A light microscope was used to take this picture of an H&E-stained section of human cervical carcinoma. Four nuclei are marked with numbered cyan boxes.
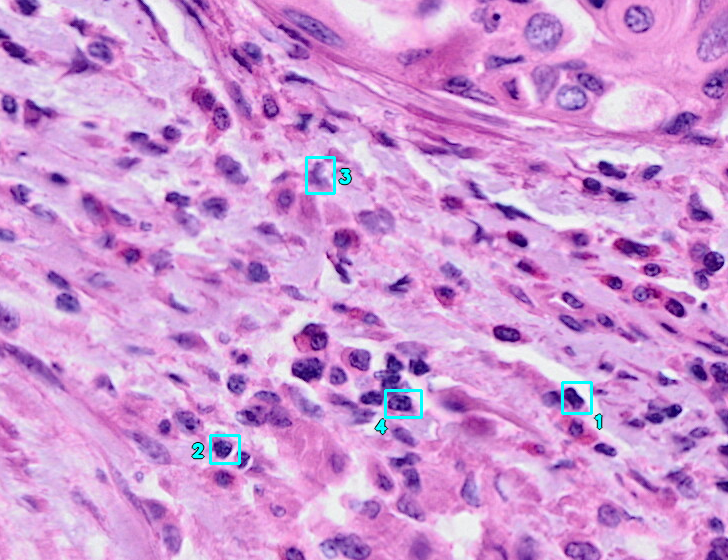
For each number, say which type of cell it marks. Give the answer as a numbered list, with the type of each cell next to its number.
1. lymphocyte
2. lymphocyte
3. fibroblast
4. lymphocyte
